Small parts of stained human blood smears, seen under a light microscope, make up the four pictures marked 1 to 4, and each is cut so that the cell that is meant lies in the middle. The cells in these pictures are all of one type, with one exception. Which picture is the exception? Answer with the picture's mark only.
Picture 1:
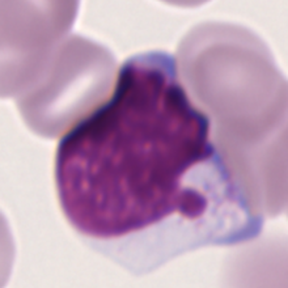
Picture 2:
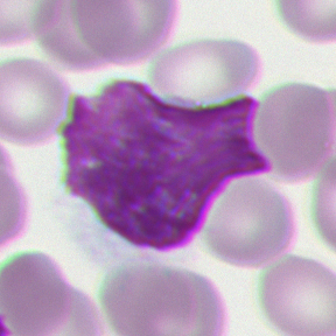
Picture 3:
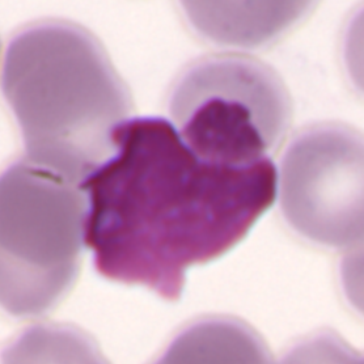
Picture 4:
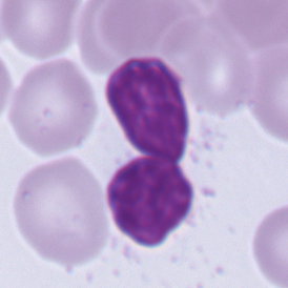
1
